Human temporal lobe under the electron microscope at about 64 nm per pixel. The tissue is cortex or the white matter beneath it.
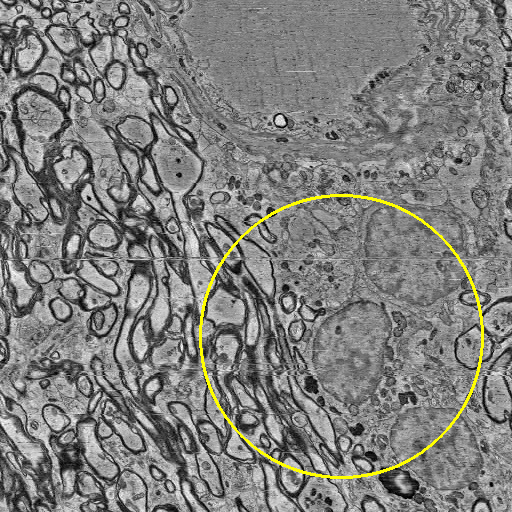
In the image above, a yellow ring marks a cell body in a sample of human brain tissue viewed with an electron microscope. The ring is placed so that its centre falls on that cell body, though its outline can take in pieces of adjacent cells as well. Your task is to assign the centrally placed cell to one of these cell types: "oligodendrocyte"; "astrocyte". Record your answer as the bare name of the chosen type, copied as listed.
oligodendrocyte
